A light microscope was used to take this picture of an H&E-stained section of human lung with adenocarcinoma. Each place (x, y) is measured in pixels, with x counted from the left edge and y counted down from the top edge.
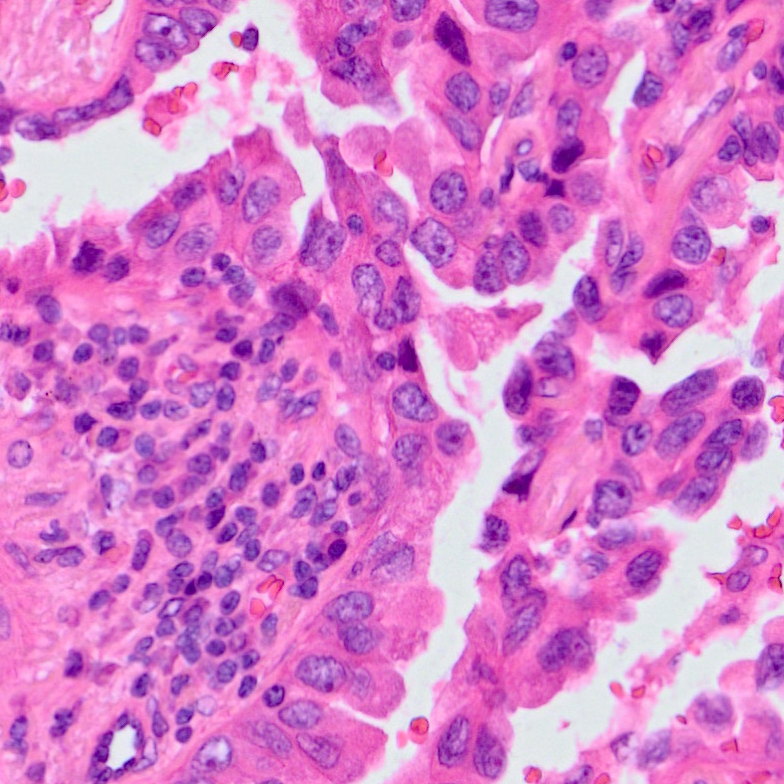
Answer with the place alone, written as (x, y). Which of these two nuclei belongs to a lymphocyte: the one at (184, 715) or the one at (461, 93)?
(184, 715)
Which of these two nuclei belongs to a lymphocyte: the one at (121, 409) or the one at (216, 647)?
(216, 647)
